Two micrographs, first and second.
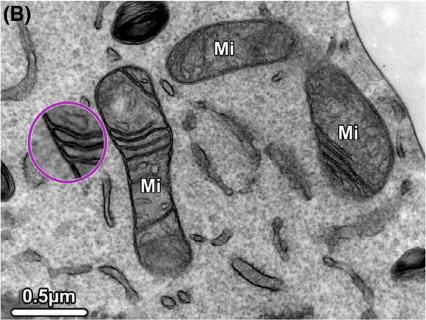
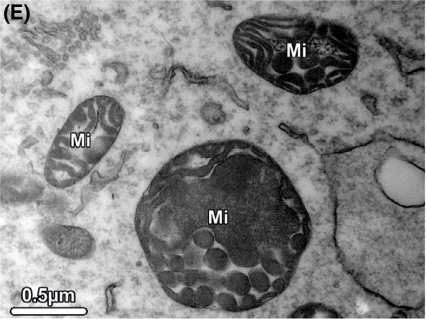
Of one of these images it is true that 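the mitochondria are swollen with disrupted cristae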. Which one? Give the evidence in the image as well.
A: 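Second image: a large rounded mitochondrion whose inner membranes are broken into round vesicle-like profiles. First image: elongated and oval mitochondria with regular, parallel inner membrane folds.
Conclusion: the second image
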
